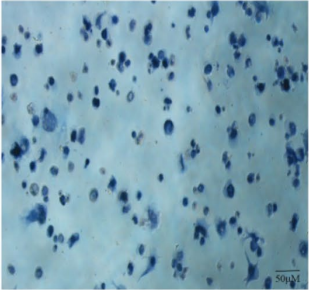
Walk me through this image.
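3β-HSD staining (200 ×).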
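Many single cells lie scattered and separate on a pale blue-grey background, most of them small and rounded, a few larger and flattened with short processes. Most cells take up a dark blue stain, while a few stay pale and unstained. The cells do not form sheets or layers, which suggests isolated cells in culture rather than tissue.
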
